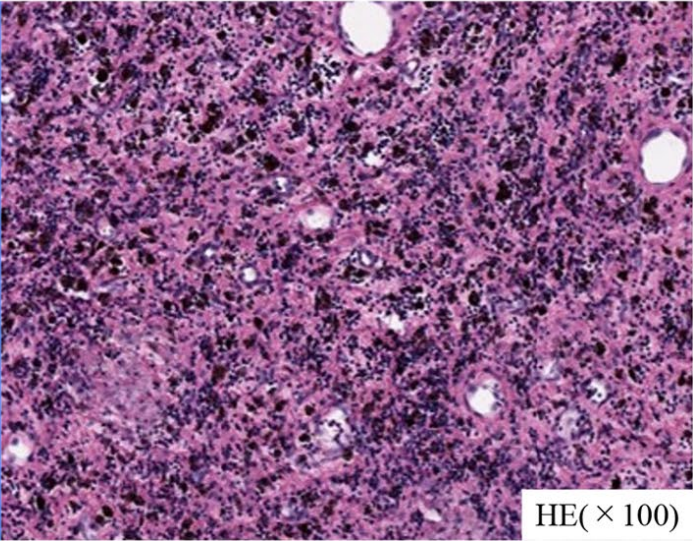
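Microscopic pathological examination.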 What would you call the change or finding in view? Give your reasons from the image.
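Numerous small dark-blue round nuclei are densely scattered across the tissue. The small cells lie within pink stroma rather than forming organised structures.
Conclusion: invasion of inflammatory cells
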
